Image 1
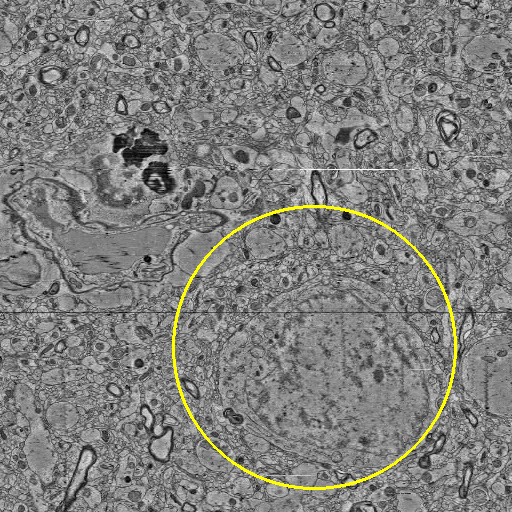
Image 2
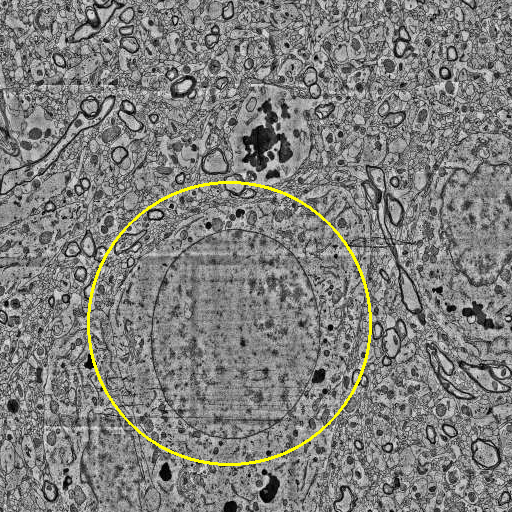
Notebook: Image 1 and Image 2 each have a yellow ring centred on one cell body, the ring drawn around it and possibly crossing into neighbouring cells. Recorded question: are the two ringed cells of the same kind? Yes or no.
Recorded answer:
no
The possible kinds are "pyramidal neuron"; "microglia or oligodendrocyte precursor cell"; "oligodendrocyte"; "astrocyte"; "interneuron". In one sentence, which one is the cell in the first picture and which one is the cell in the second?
The cell ringed in the second picture is a pyramidal neuron, whereas the one ringed in the first is an interneuron.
